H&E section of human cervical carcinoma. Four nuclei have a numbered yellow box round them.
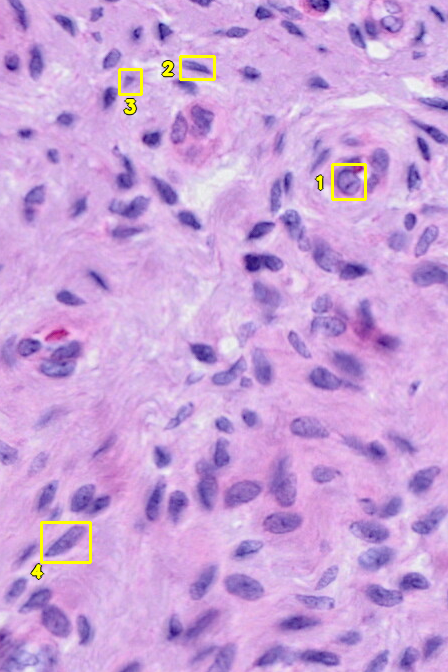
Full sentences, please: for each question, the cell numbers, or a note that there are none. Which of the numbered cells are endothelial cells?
It is only cell 1 that is an endothelial cell among the numbered cells.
